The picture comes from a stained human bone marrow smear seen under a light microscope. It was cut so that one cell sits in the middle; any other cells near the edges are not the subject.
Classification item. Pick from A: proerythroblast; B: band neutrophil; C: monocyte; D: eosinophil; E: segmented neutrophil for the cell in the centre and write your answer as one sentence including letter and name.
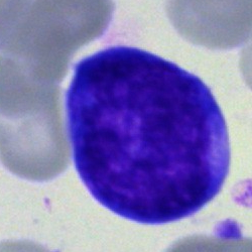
Option A is the right one, for the cell in the middle is a proerythroblast.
